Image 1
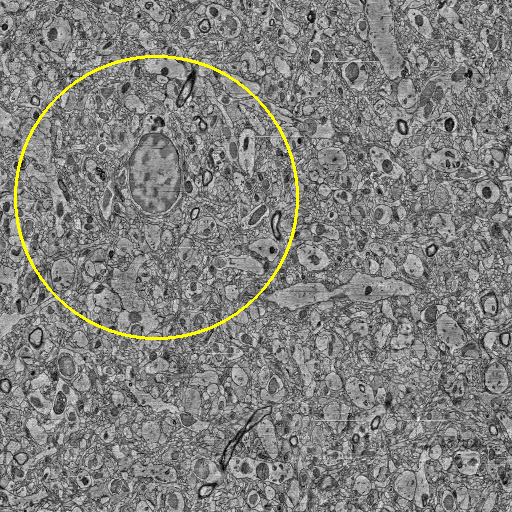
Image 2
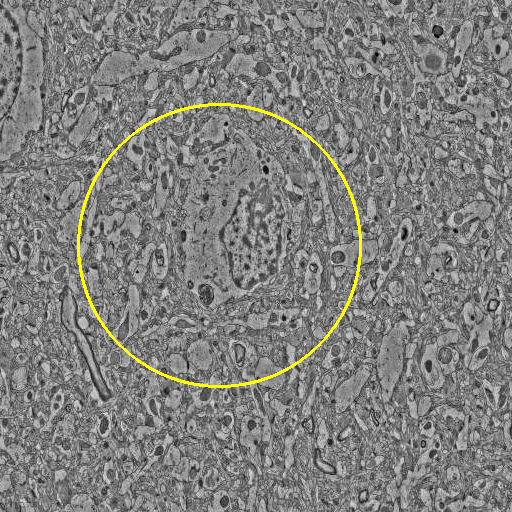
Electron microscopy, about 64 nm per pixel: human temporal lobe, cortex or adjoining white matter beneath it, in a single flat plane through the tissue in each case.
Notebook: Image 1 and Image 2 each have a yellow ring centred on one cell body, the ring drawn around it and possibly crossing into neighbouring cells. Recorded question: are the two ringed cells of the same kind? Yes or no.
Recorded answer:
no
